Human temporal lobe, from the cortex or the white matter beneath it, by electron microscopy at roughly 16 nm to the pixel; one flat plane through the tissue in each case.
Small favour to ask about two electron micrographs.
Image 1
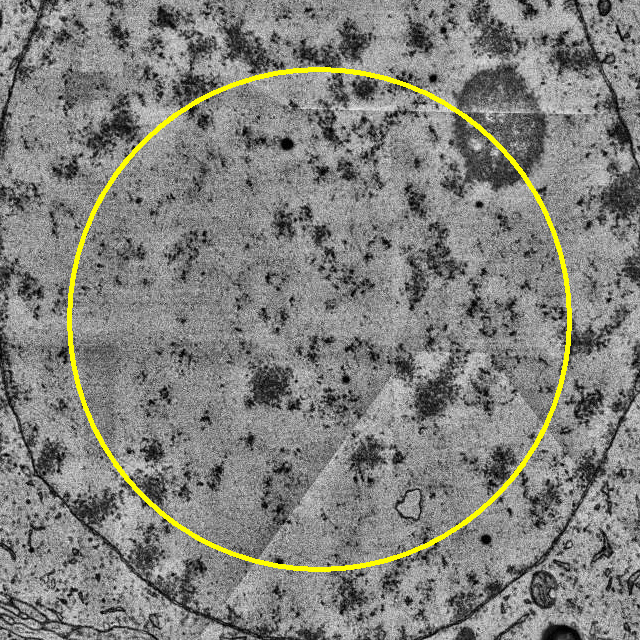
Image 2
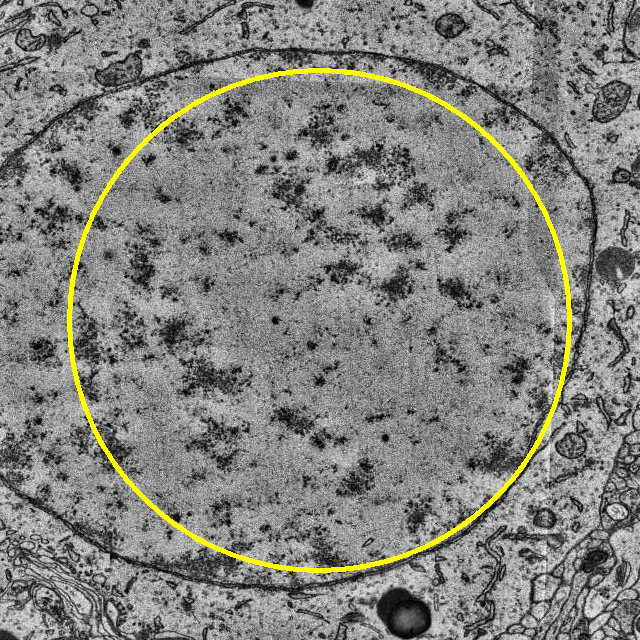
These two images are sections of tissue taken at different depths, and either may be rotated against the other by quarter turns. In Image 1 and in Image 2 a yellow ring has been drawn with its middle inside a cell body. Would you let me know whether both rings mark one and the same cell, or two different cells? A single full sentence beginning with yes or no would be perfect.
Yes, each ring singles out the same cell.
